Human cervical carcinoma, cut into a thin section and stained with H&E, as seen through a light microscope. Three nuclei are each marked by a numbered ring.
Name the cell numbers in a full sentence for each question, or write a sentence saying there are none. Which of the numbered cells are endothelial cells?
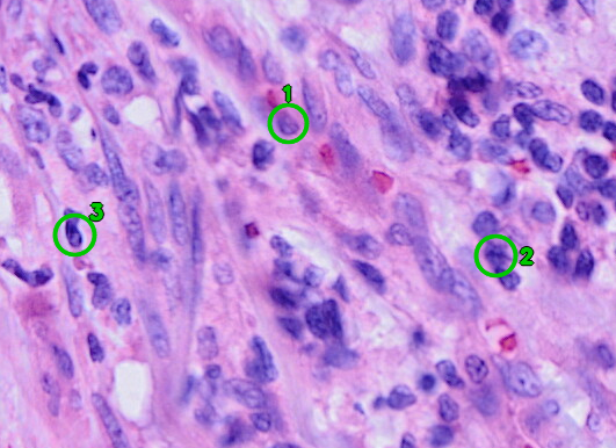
In contrast to the remaining marked cells, cell 1 is an endothelial cell.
